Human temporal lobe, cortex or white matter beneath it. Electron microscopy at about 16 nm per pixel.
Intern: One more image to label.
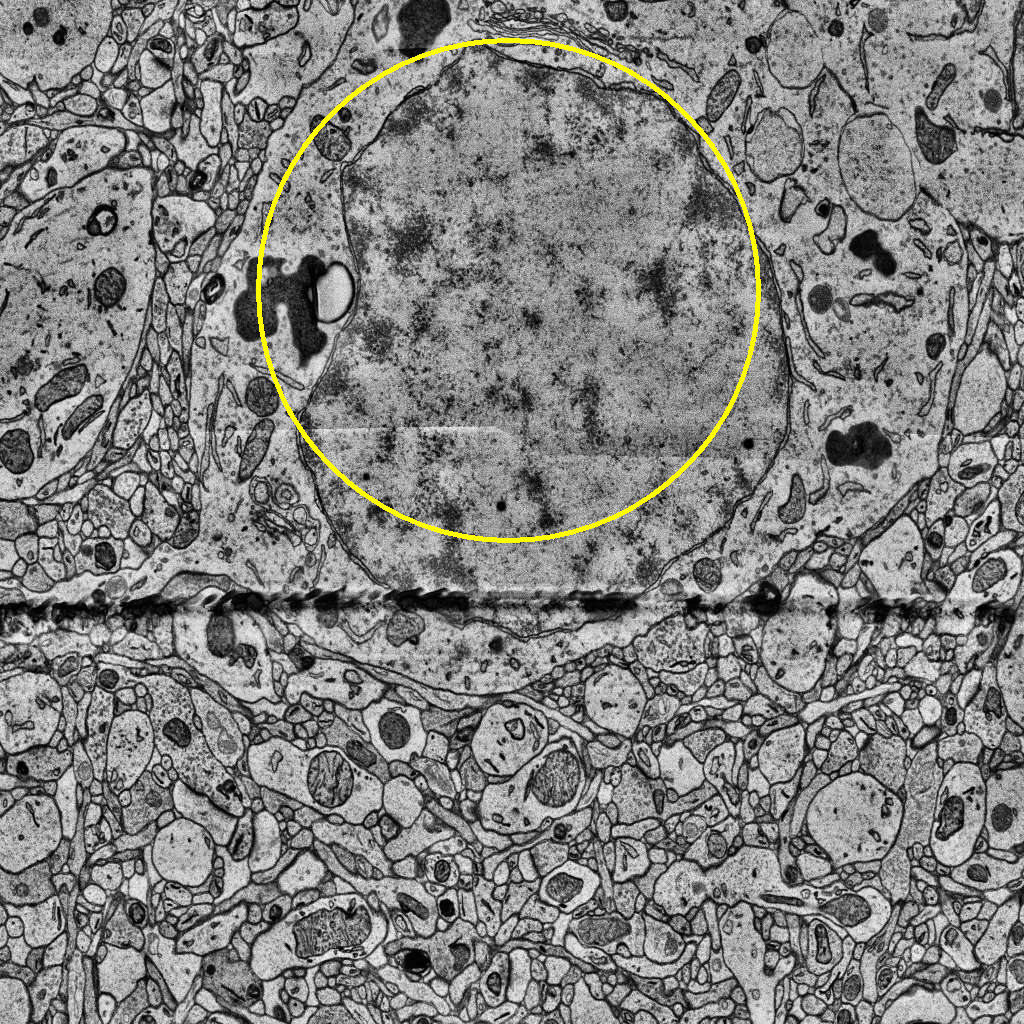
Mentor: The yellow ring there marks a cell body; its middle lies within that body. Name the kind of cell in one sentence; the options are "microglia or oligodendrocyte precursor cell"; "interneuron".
The ring marks the cell body of an interneuron.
